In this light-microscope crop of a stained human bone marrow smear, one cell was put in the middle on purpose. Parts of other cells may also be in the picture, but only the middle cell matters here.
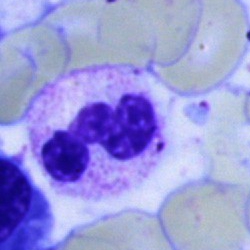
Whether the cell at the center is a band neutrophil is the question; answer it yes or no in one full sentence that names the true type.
No, the cell under consideration is a segmented neutrophil instead of a band neutrophil.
